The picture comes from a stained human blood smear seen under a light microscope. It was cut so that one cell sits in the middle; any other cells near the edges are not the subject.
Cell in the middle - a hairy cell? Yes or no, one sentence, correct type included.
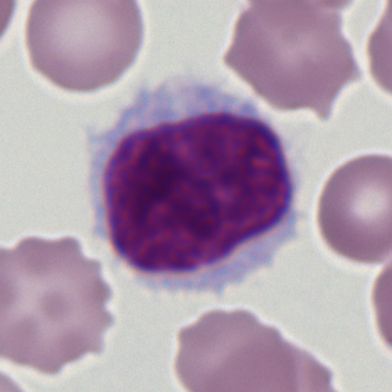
Yes, the cell that the crop is centered on is a hairy cell.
